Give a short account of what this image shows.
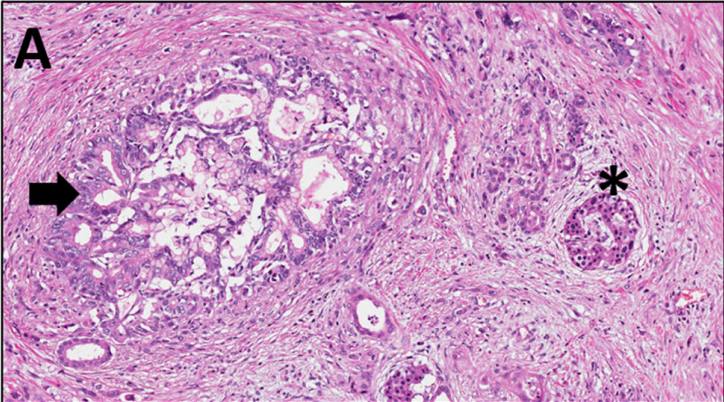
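This is pancreas with an infiltrating ductal adenocarcinoma gland on the left and a small endocrine islet on the right. The carcinoma forms an irregular, complex cluster of glandular spaces lined by crowded cells with dark nuclei, surrounded by concentric pink fibrous stroma. The whole field is set in dense, cellular fibrotic stroma.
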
